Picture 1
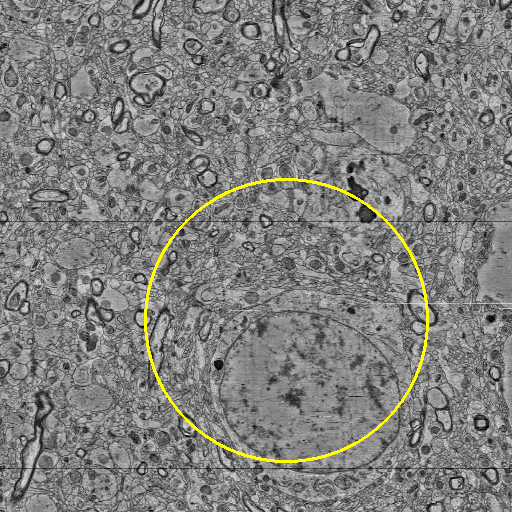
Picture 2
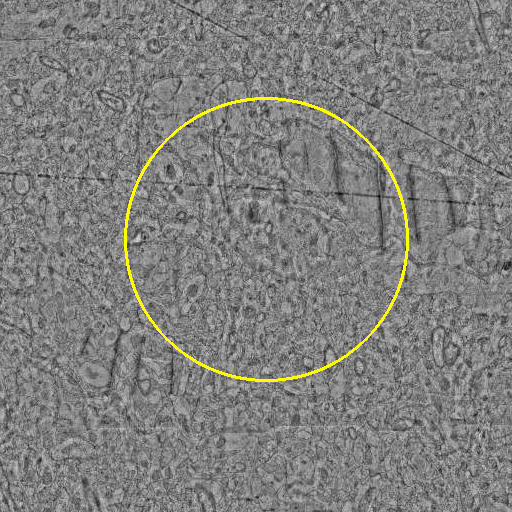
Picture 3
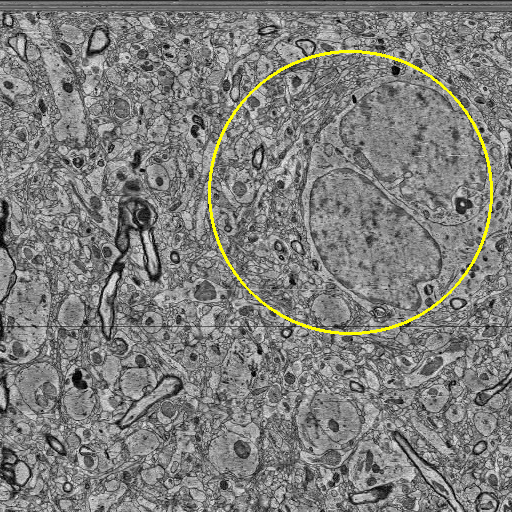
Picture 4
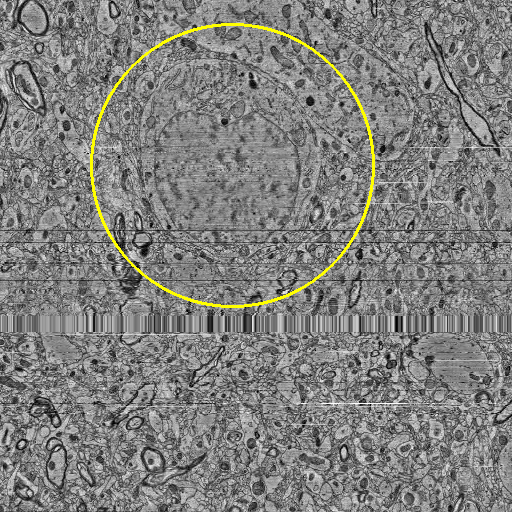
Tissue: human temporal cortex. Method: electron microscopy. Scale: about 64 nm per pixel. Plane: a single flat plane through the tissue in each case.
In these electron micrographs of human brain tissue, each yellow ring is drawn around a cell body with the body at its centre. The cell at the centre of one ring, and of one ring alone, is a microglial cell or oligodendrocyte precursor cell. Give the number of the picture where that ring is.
3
